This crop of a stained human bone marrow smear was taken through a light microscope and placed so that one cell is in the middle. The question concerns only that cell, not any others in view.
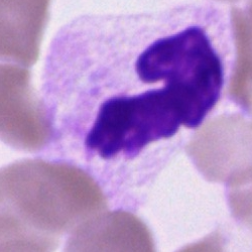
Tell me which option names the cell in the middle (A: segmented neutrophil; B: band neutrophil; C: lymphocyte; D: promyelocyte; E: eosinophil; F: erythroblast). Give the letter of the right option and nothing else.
B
